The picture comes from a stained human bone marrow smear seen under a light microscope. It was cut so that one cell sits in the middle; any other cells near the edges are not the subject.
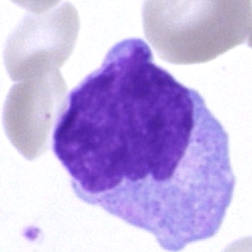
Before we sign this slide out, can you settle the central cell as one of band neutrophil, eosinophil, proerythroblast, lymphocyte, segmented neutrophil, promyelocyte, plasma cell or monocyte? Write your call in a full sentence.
On this slide crop, the central cell is a monocyte.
